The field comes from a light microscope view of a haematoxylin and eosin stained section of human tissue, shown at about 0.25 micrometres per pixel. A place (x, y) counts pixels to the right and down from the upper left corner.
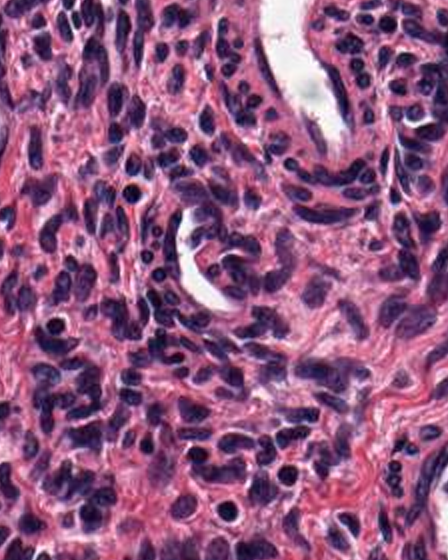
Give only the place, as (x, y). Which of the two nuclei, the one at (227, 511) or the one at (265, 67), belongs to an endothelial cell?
(265, 67)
